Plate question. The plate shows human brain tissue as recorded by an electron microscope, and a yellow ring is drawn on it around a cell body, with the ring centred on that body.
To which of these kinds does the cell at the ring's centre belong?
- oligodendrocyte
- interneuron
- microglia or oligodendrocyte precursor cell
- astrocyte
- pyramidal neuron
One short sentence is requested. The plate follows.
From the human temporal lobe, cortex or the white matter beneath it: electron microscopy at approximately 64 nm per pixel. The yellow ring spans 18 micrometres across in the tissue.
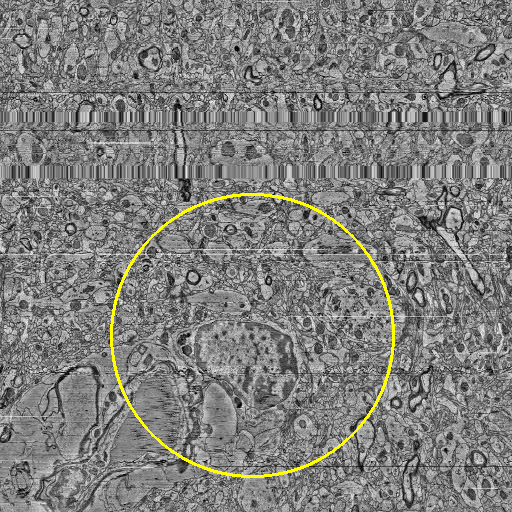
The cell at the ring's centre is a microglial cell or oligodendrocyte precursor cell.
